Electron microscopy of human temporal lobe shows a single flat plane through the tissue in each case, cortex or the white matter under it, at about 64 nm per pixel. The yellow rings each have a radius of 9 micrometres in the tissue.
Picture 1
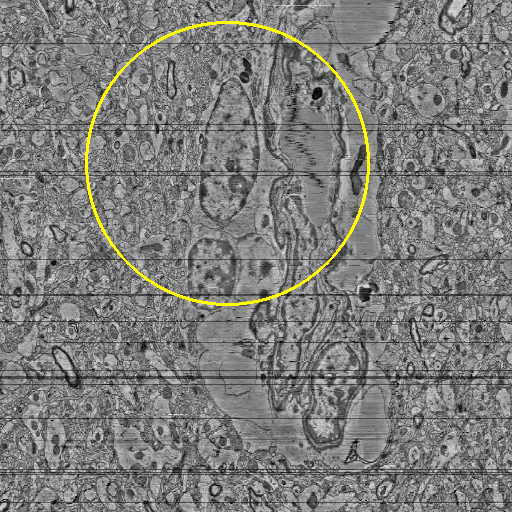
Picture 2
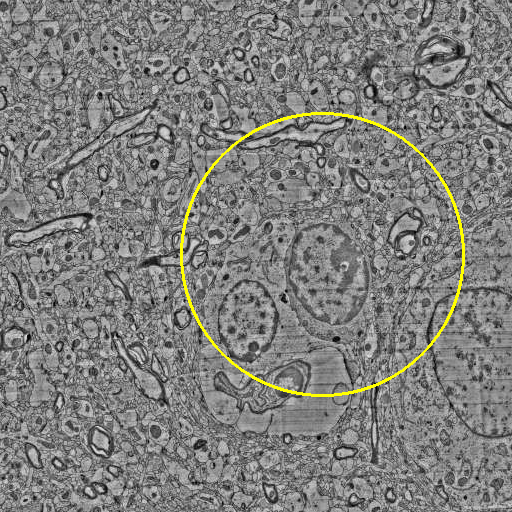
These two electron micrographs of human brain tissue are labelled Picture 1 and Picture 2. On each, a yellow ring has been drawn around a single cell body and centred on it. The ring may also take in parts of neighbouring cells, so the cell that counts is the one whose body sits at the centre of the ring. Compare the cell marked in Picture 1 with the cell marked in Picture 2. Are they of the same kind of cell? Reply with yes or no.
no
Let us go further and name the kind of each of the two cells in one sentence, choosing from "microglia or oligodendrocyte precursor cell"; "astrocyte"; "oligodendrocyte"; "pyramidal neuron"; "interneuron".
The ring of the first picture is on a microglial cell or oligodendrocyte precursor cell, the ring of the second on an oligodendrocyte.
